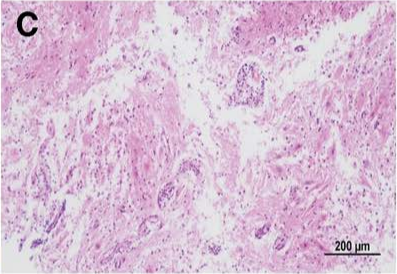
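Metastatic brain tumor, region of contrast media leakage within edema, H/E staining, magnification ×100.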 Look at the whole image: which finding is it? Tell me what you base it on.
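Perivascular lymphocyte infiltration. Several small vessel profiles are scattered through loose pink tissue. Small dark nuclei cluster around the vessel profiles.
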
